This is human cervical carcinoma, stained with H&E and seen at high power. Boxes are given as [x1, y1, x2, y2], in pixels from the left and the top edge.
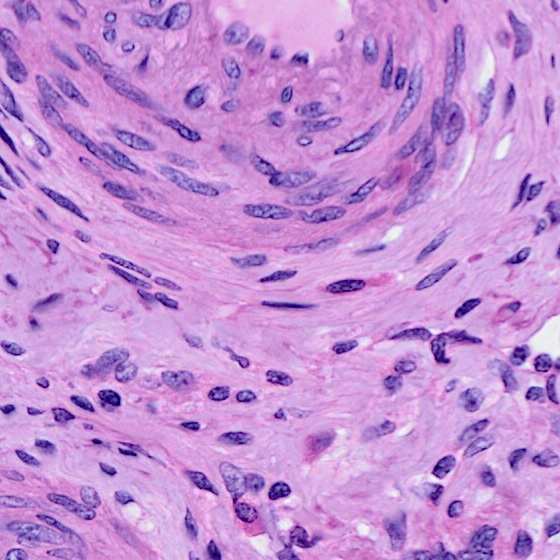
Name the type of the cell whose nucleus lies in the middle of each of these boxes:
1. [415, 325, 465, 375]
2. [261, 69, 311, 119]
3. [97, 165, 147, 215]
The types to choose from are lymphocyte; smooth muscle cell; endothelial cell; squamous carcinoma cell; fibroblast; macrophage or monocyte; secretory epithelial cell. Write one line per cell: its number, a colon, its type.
1: lymphocyte
2: smooth muscle cell
3: smooth muscle cell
